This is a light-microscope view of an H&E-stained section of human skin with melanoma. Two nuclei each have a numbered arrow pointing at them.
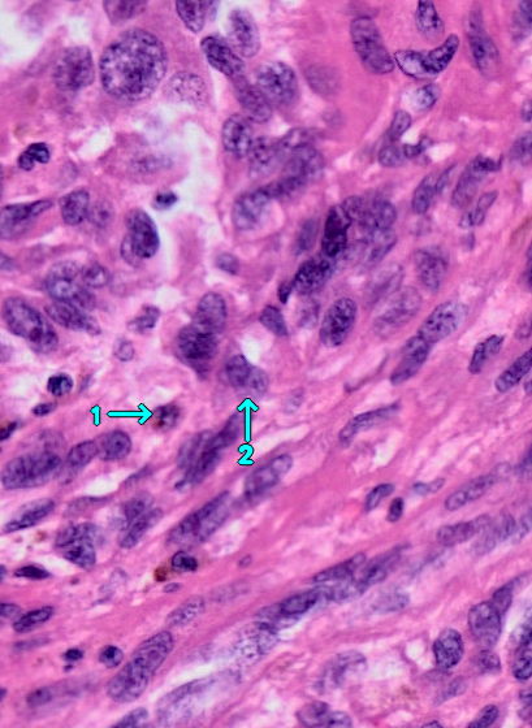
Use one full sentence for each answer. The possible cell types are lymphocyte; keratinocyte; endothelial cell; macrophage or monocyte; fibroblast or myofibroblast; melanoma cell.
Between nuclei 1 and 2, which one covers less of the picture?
Number 1 is smaller, since number 2 takes up about 3 times as much area.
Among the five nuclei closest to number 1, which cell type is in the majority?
The majority of the five nuclei closest to number 1 belong to melanoma cells.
